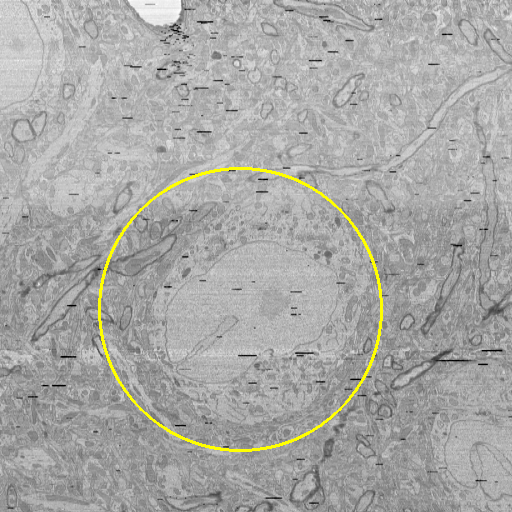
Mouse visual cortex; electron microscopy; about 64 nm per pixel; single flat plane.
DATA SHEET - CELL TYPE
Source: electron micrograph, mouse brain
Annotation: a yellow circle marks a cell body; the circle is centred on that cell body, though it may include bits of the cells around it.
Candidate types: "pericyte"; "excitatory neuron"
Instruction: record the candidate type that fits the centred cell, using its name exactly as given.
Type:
excitatory neuron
